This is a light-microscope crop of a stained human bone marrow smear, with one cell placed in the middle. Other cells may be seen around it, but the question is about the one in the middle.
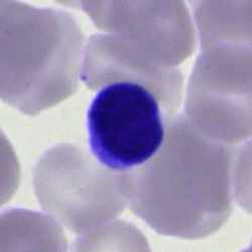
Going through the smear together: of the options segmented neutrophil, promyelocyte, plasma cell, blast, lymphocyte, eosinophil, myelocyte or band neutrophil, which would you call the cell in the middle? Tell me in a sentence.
The middle position in this crop is taken by a lymphocyte.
